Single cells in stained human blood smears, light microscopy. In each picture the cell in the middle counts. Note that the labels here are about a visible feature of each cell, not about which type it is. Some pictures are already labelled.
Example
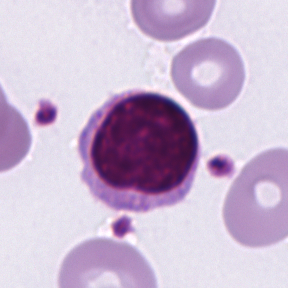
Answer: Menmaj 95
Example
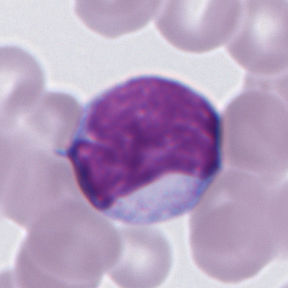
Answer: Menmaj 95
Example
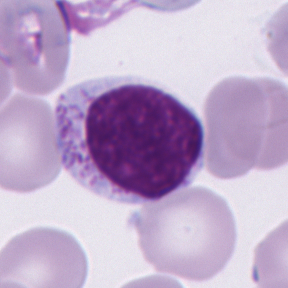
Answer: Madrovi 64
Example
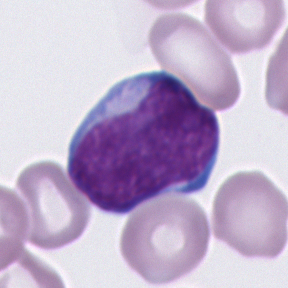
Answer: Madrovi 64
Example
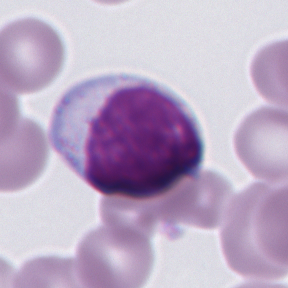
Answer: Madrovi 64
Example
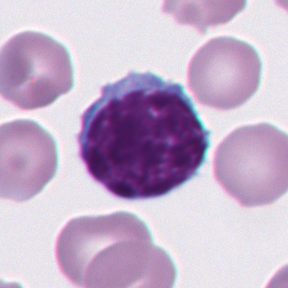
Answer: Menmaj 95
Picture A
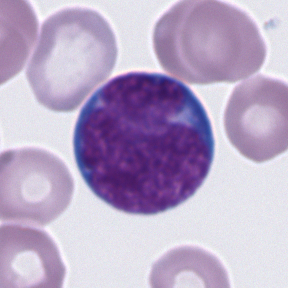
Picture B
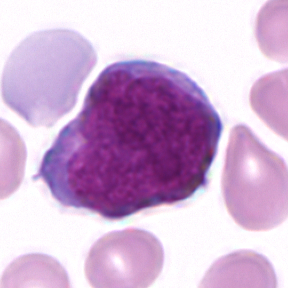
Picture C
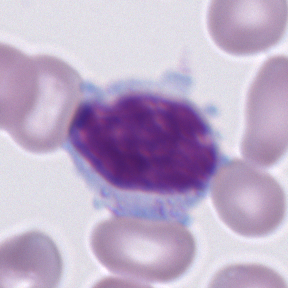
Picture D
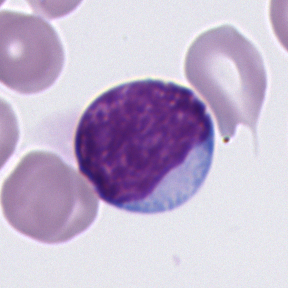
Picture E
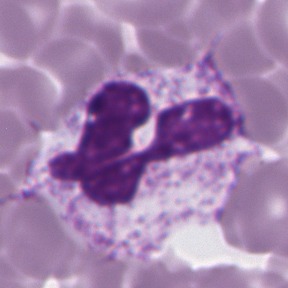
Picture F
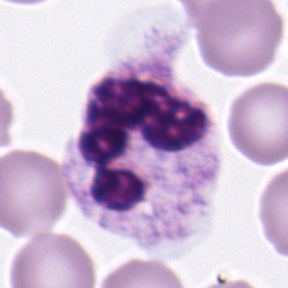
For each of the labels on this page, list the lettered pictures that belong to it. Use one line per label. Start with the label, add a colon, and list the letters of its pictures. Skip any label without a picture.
Menmaj 95: B, C, E, F
Madrovi 64: A, D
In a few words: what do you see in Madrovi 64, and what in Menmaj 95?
Madrovi 64: smooth outline; Menmaj 95: ragged outline or projections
